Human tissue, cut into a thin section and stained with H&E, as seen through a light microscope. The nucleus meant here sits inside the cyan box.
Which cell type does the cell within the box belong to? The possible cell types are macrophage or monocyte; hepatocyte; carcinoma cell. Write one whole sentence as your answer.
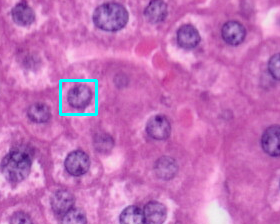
In this preparation, the cell within the box is a hepatocyte.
